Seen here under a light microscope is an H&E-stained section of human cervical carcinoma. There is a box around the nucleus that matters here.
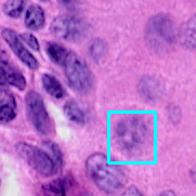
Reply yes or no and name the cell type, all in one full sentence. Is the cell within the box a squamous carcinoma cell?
Yes, by cell type, the cell within the box is a squamous carcinoma cell.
